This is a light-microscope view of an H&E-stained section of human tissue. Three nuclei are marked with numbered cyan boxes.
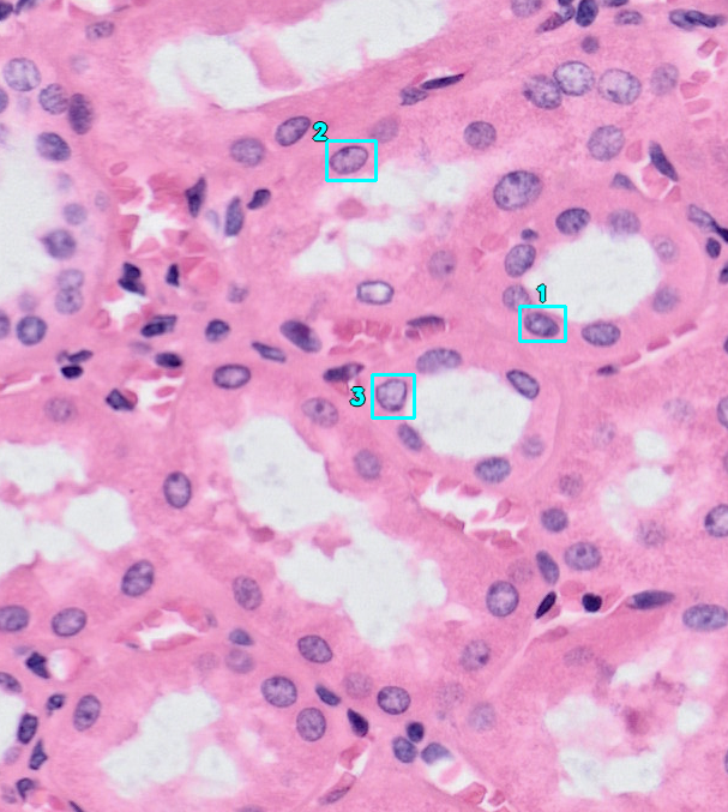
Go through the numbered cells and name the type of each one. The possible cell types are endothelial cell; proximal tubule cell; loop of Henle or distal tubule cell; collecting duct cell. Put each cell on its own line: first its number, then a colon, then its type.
1: loop of Henle or distal tubule cell
2: proximal tubule cell
3: loop of Henle or distal tubule cell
